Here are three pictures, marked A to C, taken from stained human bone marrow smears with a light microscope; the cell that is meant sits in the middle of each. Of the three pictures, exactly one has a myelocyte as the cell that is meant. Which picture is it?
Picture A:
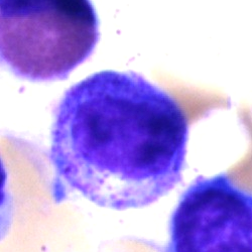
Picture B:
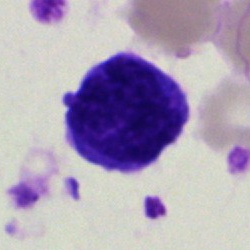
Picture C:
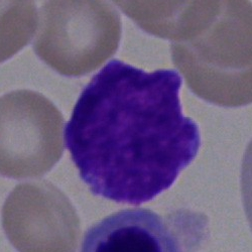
A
